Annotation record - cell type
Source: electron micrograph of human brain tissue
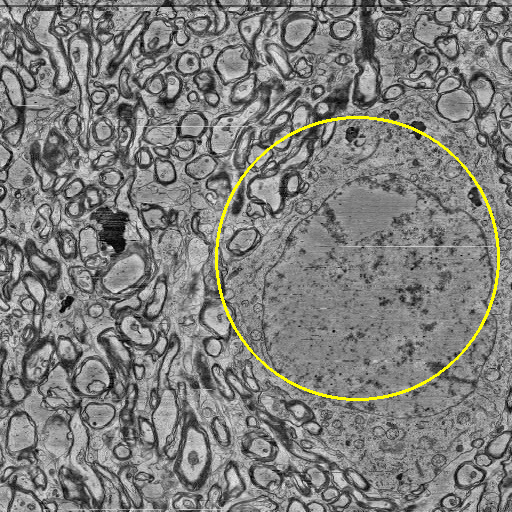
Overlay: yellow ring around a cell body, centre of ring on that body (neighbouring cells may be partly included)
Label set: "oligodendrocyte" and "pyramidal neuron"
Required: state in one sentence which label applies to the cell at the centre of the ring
This cell should be labelled as a pyramidal neuron.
